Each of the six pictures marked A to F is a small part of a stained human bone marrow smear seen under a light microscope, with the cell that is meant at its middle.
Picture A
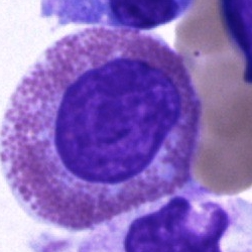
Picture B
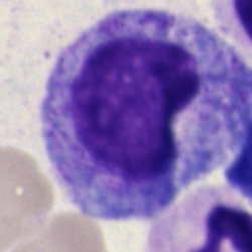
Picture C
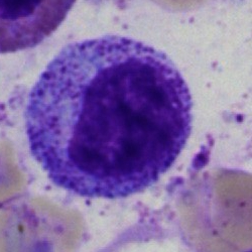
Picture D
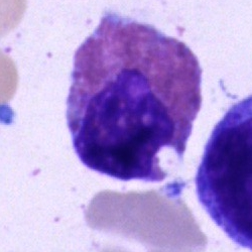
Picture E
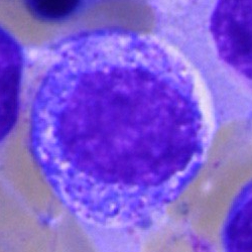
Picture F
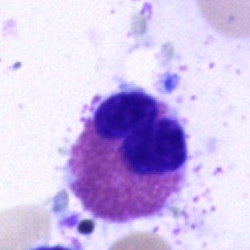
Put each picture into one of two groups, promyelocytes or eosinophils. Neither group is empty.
A: eosinophil
B: promyelocyte
C: promyelocyte
D: eosinophil
E: promyelocyte
F: eosinophil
